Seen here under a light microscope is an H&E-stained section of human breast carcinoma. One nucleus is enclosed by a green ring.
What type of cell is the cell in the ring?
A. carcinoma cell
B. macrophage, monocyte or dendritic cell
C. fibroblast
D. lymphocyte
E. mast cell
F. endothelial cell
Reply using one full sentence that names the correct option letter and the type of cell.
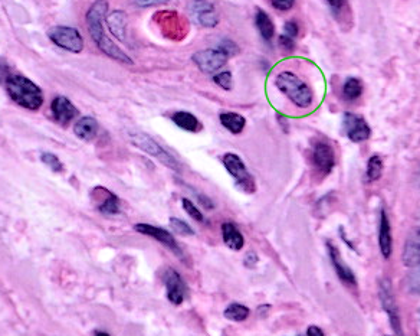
The correct pick is option E; the cell in the ring is a mast cell.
